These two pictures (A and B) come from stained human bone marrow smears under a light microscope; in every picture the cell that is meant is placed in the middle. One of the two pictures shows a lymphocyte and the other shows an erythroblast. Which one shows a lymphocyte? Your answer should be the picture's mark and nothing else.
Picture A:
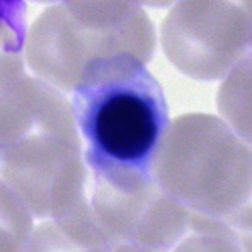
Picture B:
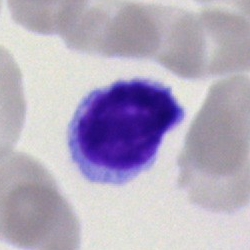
B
